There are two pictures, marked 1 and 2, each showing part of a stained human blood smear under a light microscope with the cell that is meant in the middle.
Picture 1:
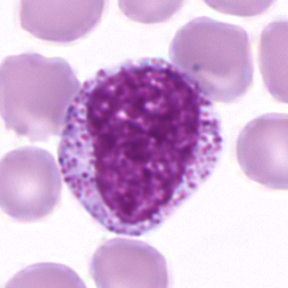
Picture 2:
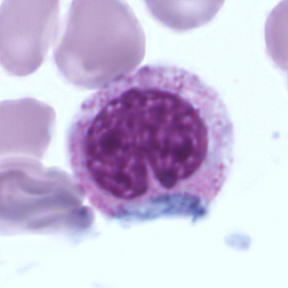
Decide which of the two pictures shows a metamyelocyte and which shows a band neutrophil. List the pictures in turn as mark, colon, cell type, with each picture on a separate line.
1: metamyelocyte
2: band neutrophil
